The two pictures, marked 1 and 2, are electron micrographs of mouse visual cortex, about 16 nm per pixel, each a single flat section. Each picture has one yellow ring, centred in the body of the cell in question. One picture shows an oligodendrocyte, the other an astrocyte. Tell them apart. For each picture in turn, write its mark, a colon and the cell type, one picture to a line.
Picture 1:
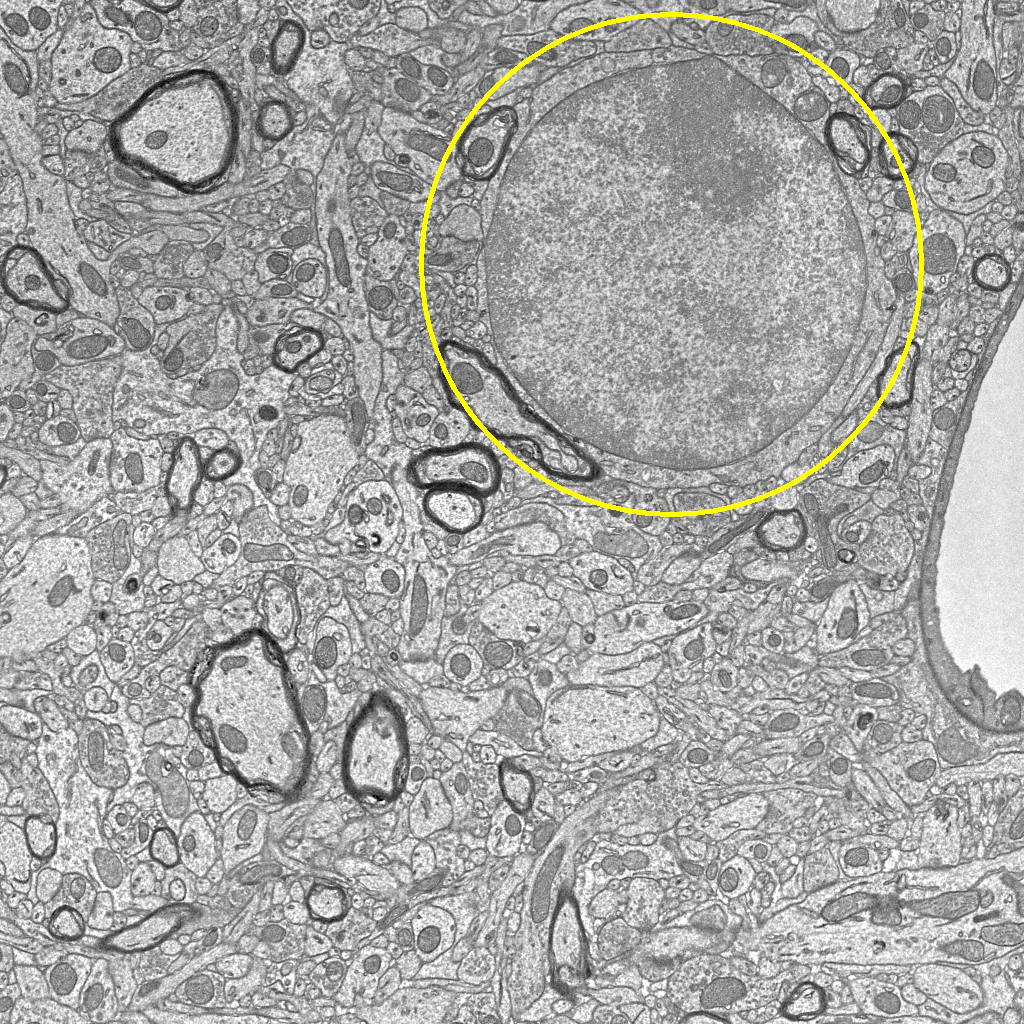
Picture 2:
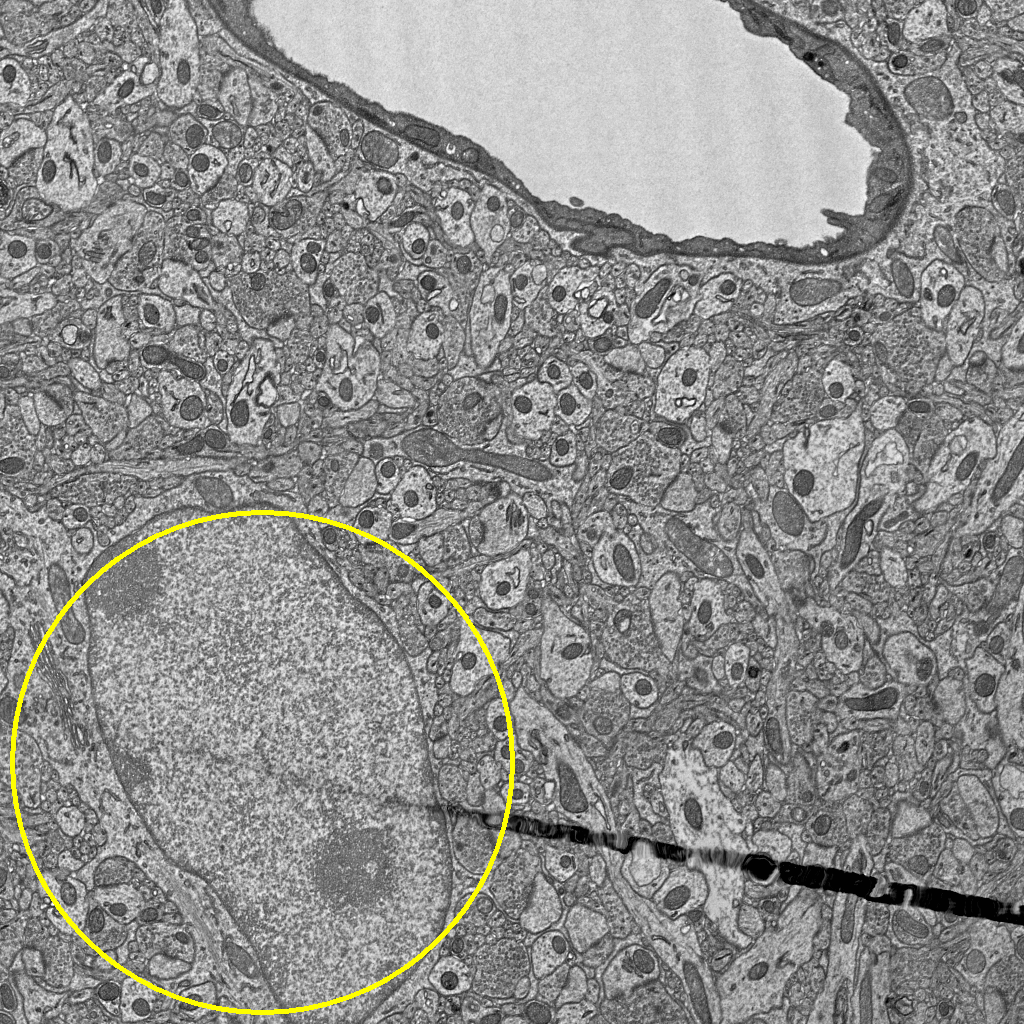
1: oligodendrocyte
2: astrocyte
